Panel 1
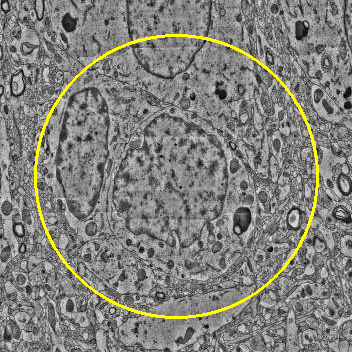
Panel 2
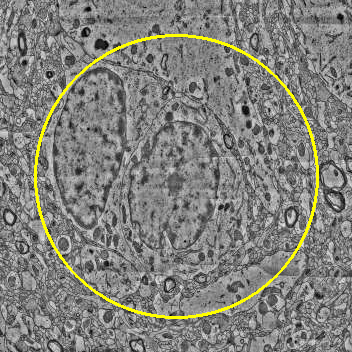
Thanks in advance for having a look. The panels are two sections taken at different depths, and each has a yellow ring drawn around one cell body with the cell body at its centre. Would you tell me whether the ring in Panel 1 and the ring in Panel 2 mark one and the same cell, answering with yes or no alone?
yes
